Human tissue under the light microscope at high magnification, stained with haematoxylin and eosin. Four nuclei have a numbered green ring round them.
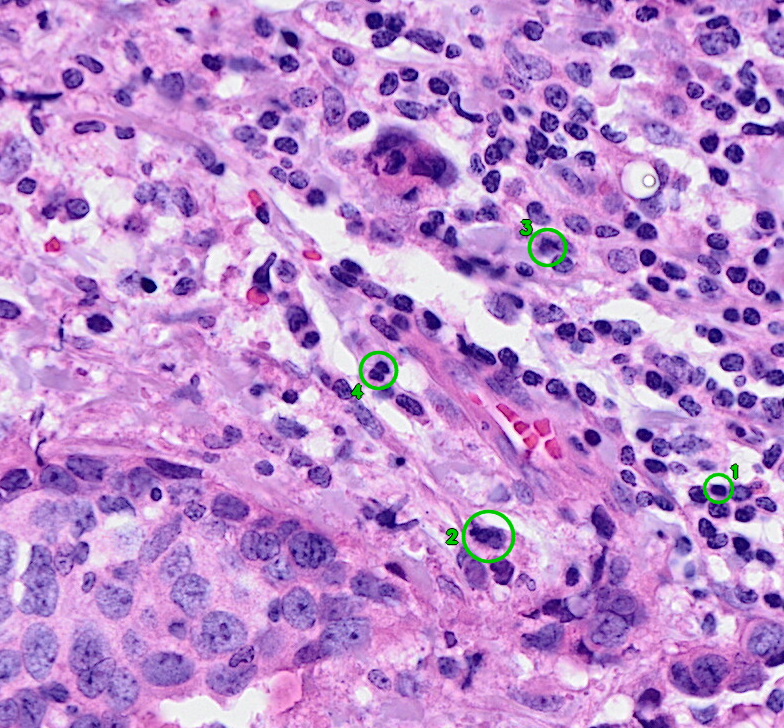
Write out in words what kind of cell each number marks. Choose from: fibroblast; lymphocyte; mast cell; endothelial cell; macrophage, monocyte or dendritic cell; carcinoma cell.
Cell 1 is a lymphocyte, cell 2 is a carcinoma cell, cell 3 is a lymphocyte and cell 4 is a lymphocyte.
